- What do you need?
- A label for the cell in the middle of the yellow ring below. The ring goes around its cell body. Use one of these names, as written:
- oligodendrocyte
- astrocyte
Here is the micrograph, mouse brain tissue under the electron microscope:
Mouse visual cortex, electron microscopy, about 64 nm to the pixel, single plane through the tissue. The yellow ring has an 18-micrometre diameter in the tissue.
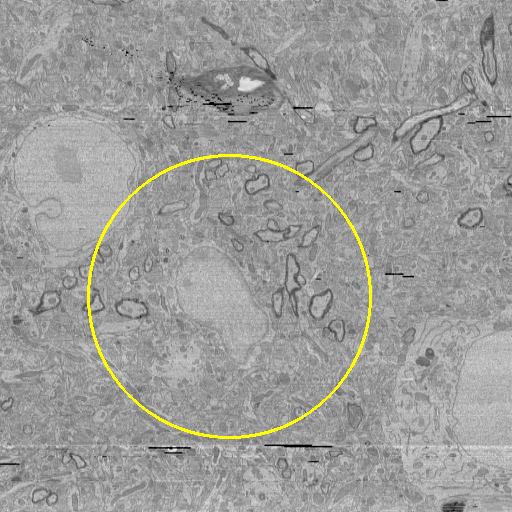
astrocyte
